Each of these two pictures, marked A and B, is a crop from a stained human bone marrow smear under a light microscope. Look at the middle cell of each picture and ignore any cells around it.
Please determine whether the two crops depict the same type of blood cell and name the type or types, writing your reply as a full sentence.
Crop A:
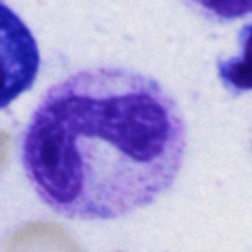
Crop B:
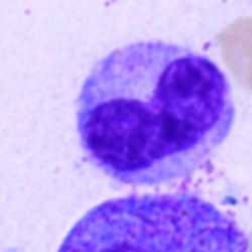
No, crop A should be called a band neutrophil, and crop B should be called a metamyelocyte.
